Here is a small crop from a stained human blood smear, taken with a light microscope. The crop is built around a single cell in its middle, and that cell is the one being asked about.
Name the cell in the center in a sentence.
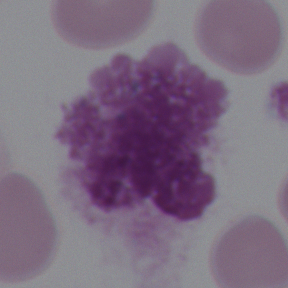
At the middle of the frame sits a smudge cell.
